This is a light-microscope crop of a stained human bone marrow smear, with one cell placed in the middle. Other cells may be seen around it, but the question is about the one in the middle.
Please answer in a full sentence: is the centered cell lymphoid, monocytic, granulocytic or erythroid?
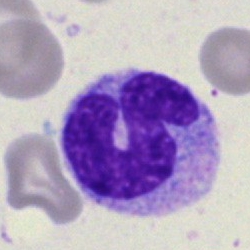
It is of the monocytic lineage that the central cell is a member.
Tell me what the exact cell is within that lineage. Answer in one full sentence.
Where the crop is centred, there is a monocyte.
